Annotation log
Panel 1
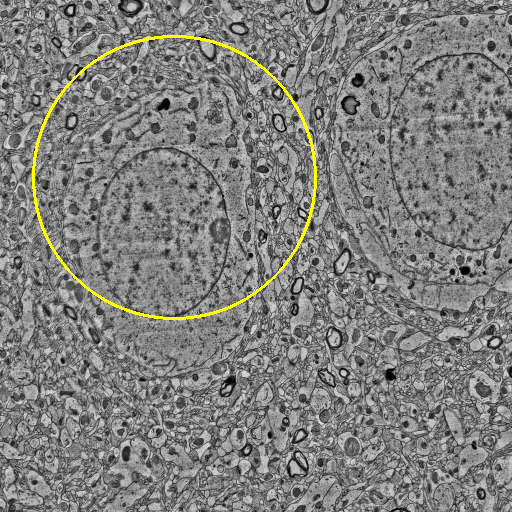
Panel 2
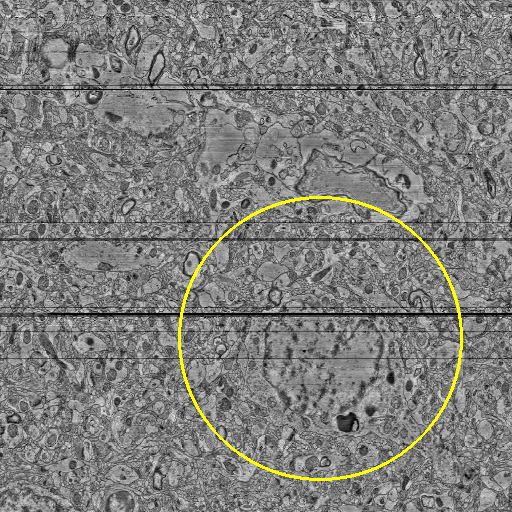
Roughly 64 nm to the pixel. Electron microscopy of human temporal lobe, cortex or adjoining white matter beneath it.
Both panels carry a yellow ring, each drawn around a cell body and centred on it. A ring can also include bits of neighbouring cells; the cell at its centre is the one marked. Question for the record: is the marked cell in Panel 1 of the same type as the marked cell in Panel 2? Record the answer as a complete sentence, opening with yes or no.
No, the marked cells in Panel 1 and Panel 2 are of two types.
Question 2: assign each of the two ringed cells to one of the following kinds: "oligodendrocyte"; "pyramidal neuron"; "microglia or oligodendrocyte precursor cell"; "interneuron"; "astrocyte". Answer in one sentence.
The two cells are a pyramidal neuron in the first picture and an interneuron in the second.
